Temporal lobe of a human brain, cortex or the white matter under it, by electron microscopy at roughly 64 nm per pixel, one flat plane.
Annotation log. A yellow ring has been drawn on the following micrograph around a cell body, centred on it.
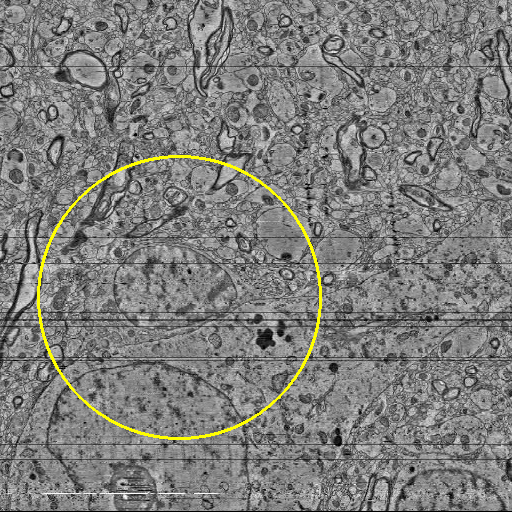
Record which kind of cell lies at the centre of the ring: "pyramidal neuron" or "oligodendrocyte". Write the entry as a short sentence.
The cell the ring is centred on is an oligodendrocyte.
